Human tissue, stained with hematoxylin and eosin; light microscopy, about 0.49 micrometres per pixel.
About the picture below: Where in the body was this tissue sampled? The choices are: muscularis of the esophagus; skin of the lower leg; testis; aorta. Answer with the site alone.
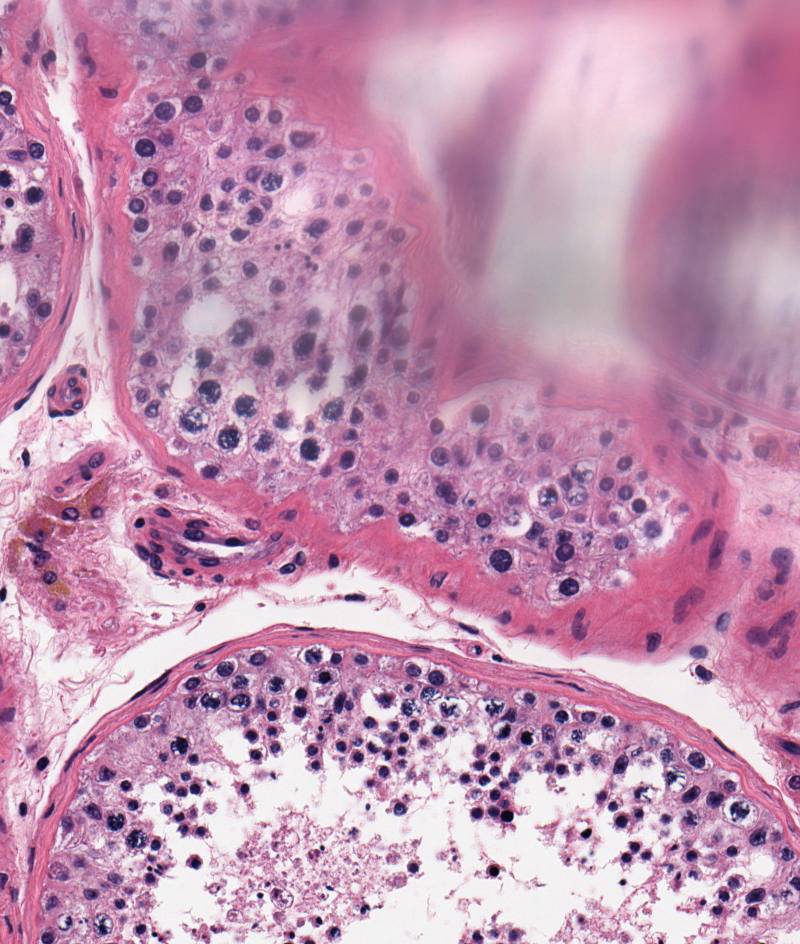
testis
